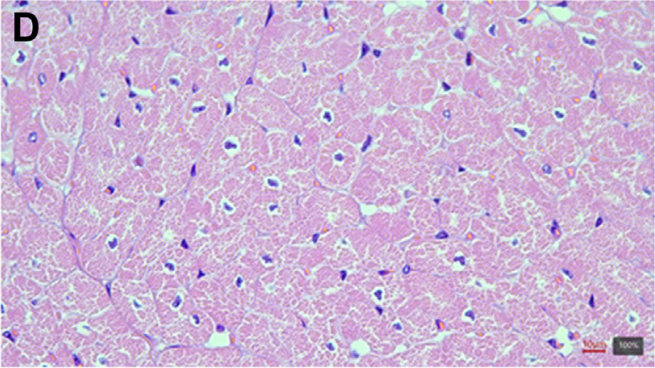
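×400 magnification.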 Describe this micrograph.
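This is heart muscle of the myocardium cut across, with densely packed cardiomyocyte profiles. The fibres have pink cytoplasm with a fine stippled texture. Purple nuclei are numerous and evenly spread across the field, some round within the fibres and others small and angular in the thin interstitial spaces. The boundaries between fibres are marked by thin pale lines. Scattered small spaces contain occasional red cells.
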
